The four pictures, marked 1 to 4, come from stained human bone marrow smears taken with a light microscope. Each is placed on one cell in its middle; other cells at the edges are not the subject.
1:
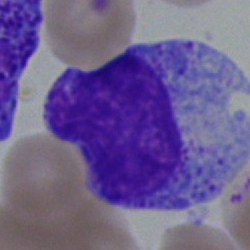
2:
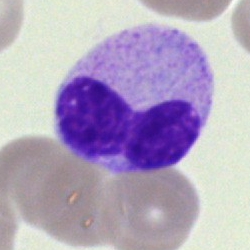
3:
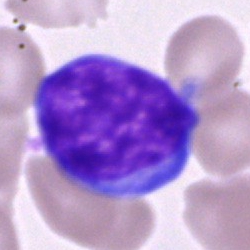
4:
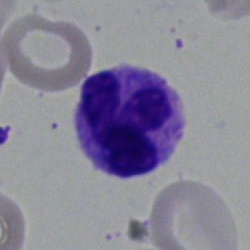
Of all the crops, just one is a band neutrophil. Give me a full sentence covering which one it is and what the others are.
To sum up, crop 2 shows a band neutrophil, while crop 1 is a myelocyte, crop 3 is a blast and crop 4 is a segmented neutrophil.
